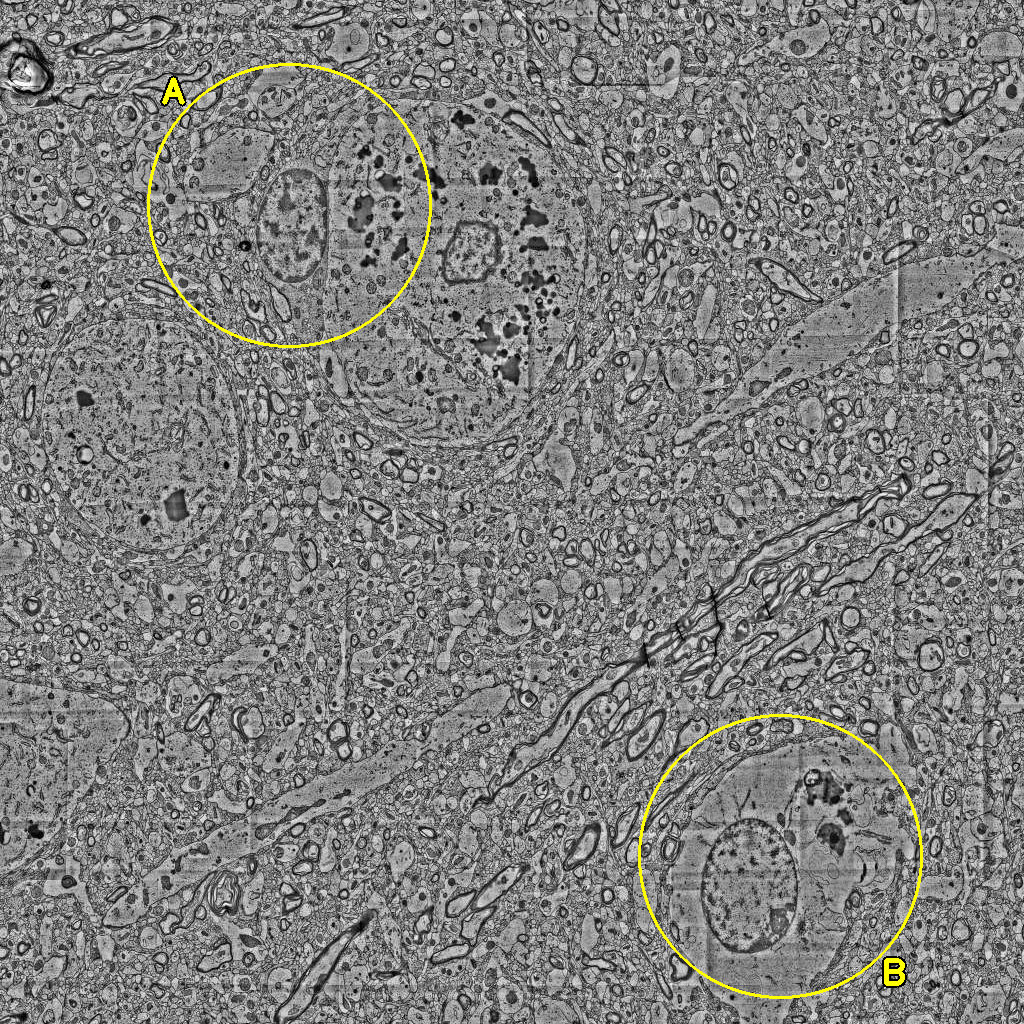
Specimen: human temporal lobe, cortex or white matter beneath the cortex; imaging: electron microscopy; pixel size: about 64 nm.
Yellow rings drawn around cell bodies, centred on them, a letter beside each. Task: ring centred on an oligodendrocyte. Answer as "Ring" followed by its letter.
Ring A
